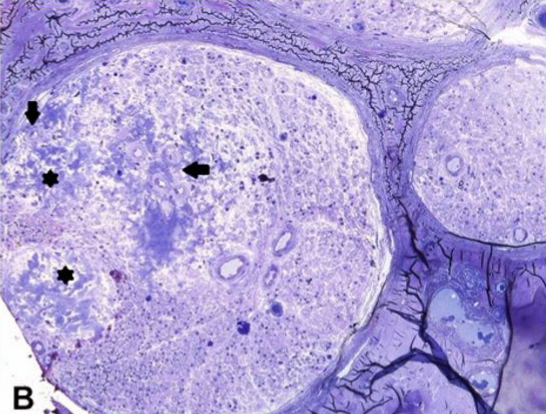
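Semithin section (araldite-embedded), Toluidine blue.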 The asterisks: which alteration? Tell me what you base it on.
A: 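The asterisks mark patchy, pale blue-violet, amorphous areas inside the fascicle. That points to this answer: amyloid deposits.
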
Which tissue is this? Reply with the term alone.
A: nerve fascicles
